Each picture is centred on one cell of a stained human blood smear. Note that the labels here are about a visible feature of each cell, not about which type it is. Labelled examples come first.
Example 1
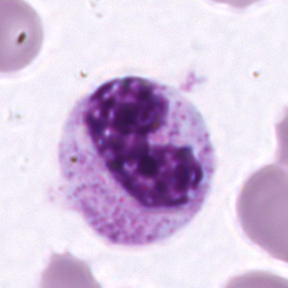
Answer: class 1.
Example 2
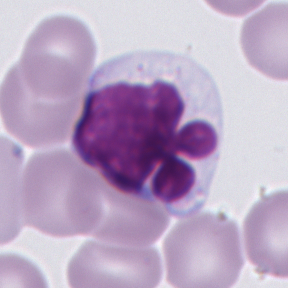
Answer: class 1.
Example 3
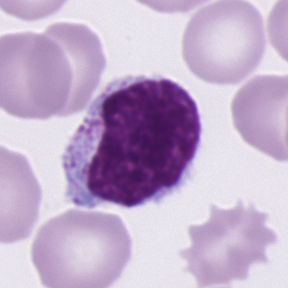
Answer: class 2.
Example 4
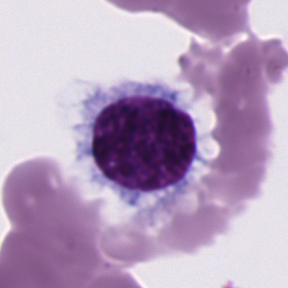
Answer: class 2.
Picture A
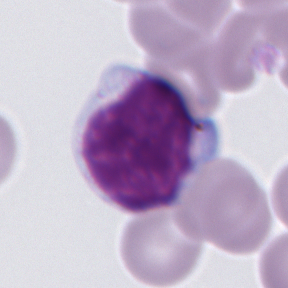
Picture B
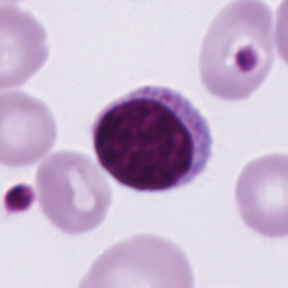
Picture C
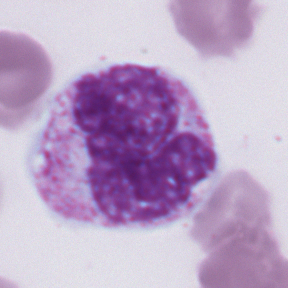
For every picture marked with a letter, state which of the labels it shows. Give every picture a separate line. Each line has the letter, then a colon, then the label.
A: class 2.
B: class 2.
C: class 1.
